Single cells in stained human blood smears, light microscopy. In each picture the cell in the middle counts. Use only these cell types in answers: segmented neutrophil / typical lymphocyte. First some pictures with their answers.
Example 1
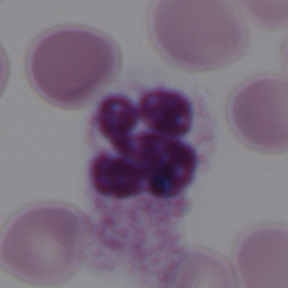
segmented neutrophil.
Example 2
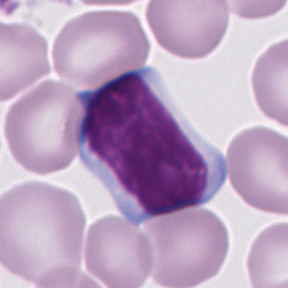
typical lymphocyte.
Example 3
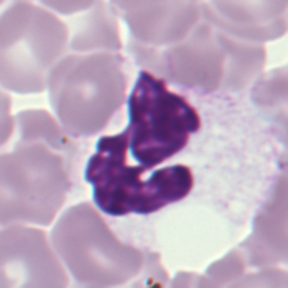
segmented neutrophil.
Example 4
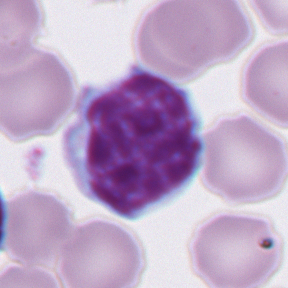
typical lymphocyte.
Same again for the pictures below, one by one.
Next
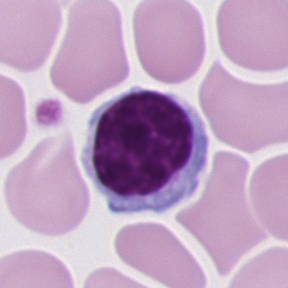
typical lymphocyte.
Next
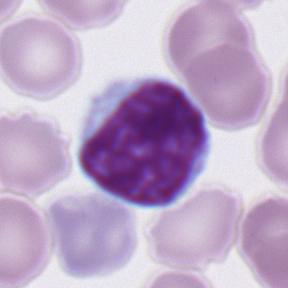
typical lymphocyte.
